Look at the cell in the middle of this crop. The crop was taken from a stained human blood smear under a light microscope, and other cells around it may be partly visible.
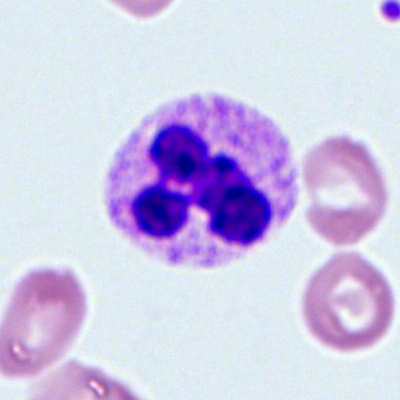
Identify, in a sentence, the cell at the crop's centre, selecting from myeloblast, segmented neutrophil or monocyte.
The cell of interest, in the center, is a segmented neutrophil.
